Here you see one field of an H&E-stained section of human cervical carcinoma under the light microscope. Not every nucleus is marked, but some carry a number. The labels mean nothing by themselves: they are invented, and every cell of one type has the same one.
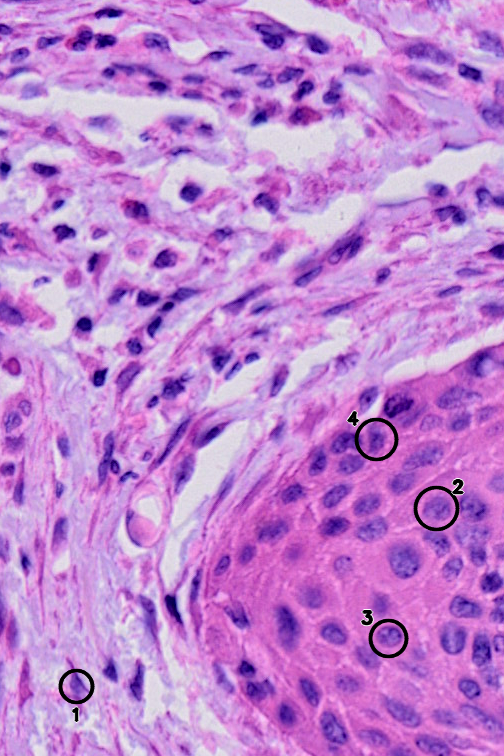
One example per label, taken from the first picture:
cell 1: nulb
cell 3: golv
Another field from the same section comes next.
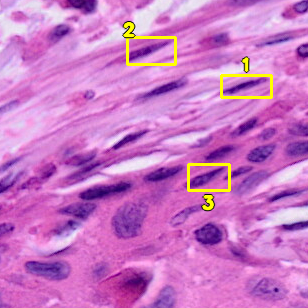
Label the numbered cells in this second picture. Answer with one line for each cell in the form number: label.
1: nulb
2: nulb
3: golv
